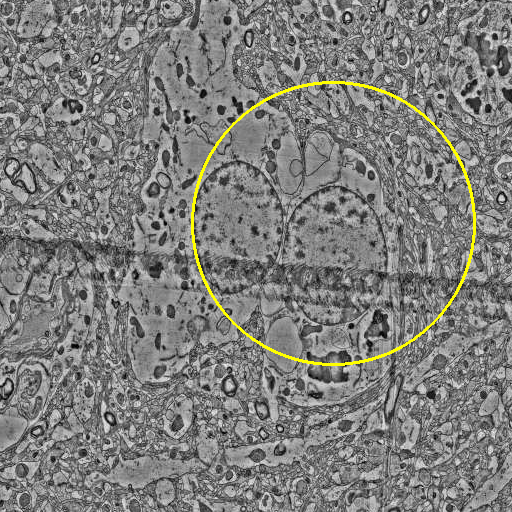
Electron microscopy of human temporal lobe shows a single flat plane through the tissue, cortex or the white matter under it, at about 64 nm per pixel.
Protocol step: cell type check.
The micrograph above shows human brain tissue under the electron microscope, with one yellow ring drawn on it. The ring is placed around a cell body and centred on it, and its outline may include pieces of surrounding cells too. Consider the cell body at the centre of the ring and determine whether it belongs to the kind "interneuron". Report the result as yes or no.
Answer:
no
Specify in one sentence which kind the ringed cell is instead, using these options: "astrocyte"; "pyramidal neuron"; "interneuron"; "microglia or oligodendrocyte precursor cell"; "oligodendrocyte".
Instead, the cell at the centre of the yellow ring is an astrocyte.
